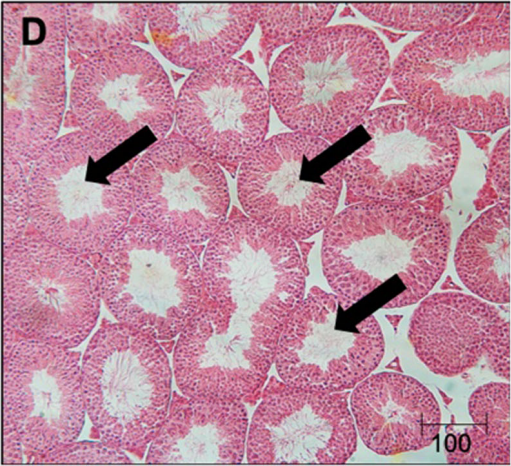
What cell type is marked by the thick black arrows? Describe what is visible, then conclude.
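The arrows point into the open centres of round tubules. The tubule centres hold pale, fine, thread-like material. A thick, many-layered cell lining surrounds each centre.
Conclusion: mature spermatozoa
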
